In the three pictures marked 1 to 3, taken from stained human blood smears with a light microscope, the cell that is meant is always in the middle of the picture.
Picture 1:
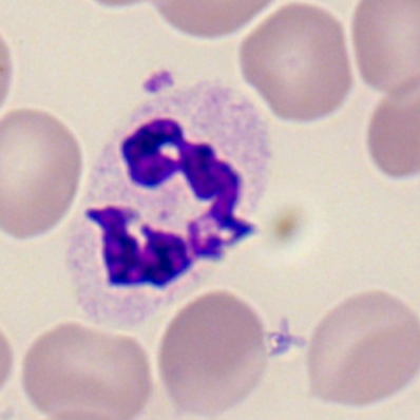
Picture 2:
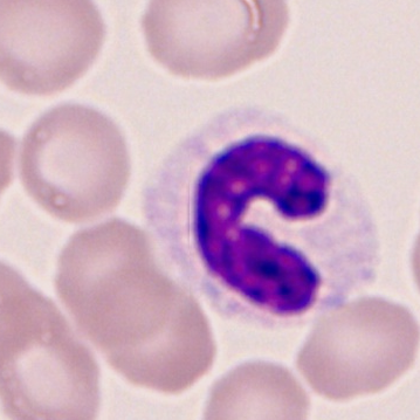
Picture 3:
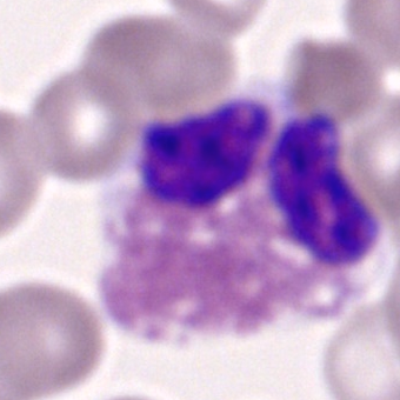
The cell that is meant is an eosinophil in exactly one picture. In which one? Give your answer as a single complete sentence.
The picture with the eosinophil is 3.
